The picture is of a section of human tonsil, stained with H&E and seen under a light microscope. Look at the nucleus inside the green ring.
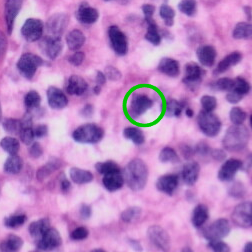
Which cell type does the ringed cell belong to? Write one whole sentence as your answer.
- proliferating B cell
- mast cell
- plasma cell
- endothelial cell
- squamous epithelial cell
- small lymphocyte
The identity of the ringed cell: it is a proliferating B cell.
